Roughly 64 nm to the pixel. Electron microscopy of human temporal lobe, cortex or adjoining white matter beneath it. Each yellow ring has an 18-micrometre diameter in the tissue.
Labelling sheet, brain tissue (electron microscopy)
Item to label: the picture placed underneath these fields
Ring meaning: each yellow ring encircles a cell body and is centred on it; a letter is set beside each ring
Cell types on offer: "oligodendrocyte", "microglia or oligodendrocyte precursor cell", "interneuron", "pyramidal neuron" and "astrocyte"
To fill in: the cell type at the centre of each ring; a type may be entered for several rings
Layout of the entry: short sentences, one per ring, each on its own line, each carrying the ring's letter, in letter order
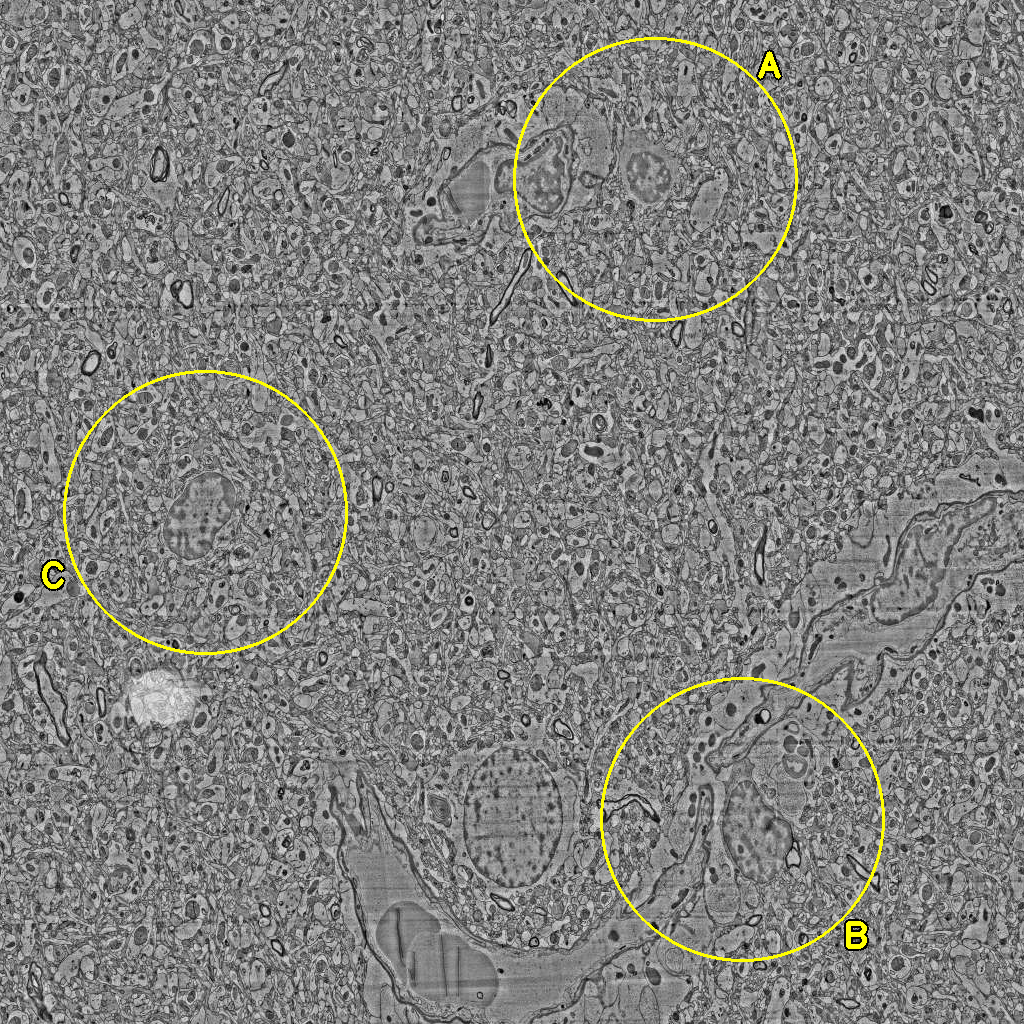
Ring A encircles the body of an oligodendrocyte.
Ring B encircles the body of an oligodendrocyte.
Ring C encircles the body of a microglial cell or oligodendrocyte precursor cell.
